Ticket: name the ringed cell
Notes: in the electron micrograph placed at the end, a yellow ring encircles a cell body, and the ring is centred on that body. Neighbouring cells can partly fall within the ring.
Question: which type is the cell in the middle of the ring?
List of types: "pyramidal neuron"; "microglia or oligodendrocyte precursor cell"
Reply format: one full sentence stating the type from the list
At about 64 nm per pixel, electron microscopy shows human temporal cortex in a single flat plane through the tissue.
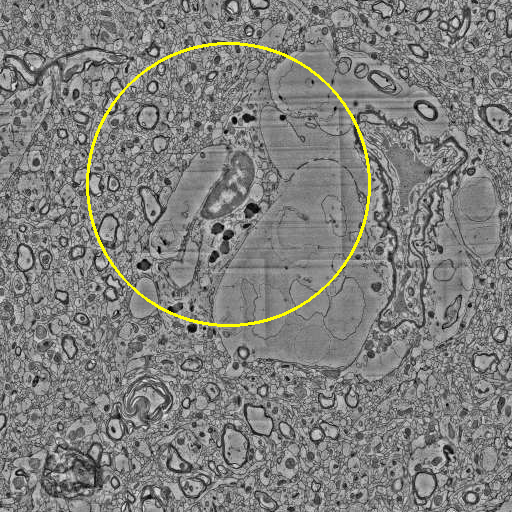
The cell sitting at the centre of the yellow ring is a microglial cell or oligodendrocyte precursor cell.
